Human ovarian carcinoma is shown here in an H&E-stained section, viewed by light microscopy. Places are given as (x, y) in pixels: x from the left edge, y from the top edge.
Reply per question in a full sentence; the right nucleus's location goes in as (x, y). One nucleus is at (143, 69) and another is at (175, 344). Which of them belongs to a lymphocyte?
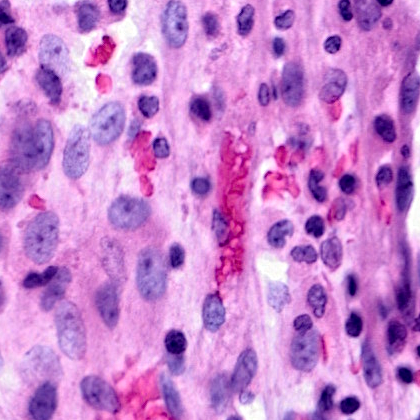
Which one belongs to a lymphocyte? The nucleus at (175, 344) does.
